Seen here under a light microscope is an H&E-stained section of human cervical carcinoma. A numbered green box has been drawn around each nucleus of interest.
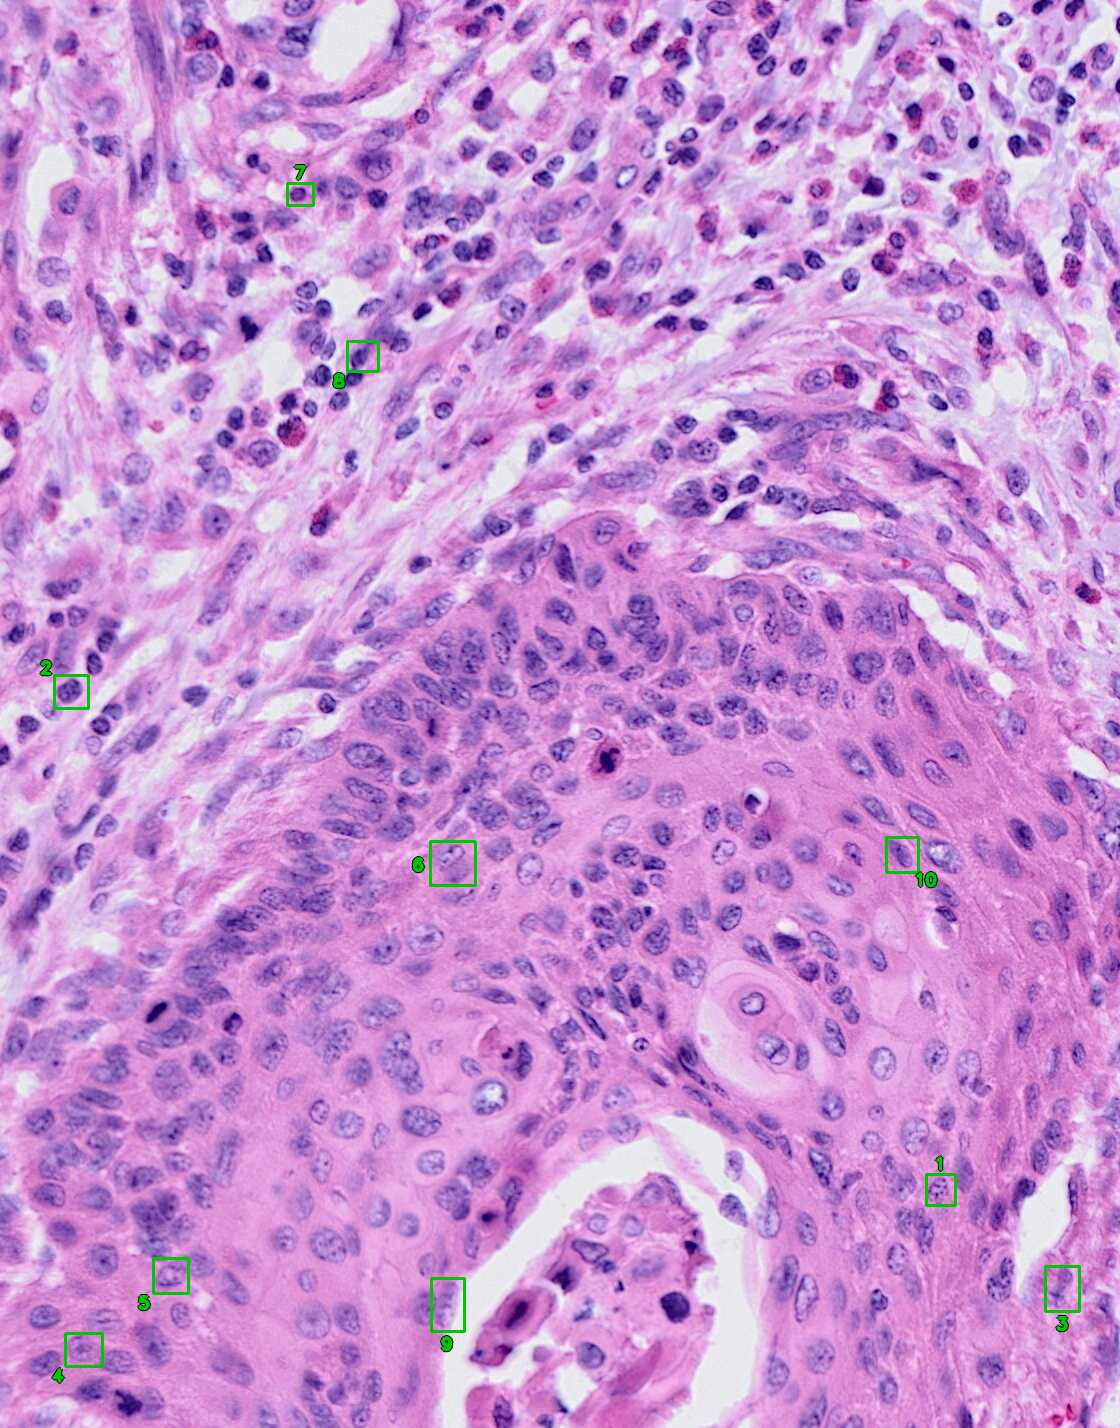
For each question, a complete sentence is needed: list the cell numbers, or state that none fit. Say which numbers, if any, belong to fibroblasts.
Cell 3, and no other numbered cell, is a fibroblast.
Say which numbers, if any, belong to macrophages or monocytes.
The numbered cell that is a macrophage or monocyte is cell 7, and it is the only one.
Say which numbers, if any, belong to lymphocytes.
The cells marked 2 and 8 in the section are lymphocytes.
